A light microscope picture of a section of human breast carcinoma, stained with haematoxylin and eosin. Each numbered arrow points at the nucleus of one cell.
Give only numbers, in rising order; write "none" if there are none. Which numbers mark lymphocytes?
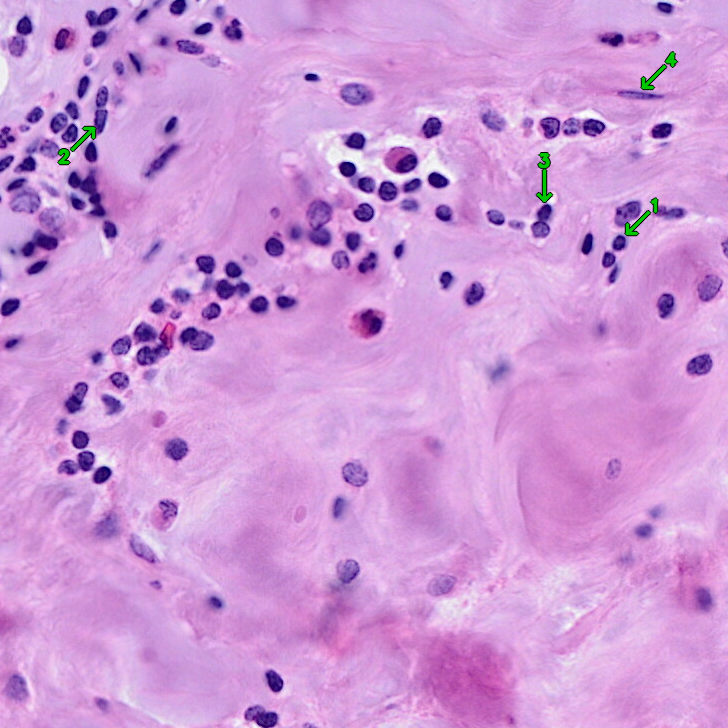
1, 2, 3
